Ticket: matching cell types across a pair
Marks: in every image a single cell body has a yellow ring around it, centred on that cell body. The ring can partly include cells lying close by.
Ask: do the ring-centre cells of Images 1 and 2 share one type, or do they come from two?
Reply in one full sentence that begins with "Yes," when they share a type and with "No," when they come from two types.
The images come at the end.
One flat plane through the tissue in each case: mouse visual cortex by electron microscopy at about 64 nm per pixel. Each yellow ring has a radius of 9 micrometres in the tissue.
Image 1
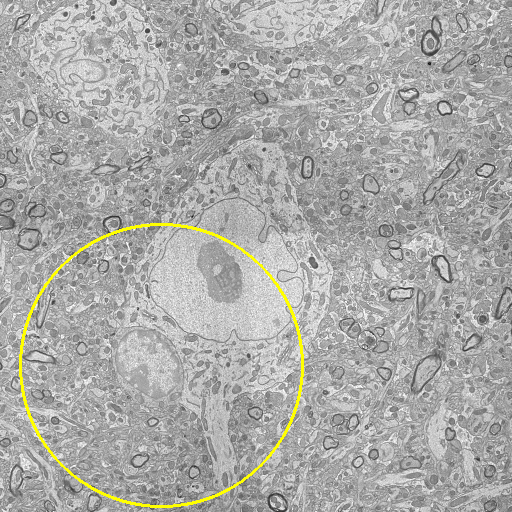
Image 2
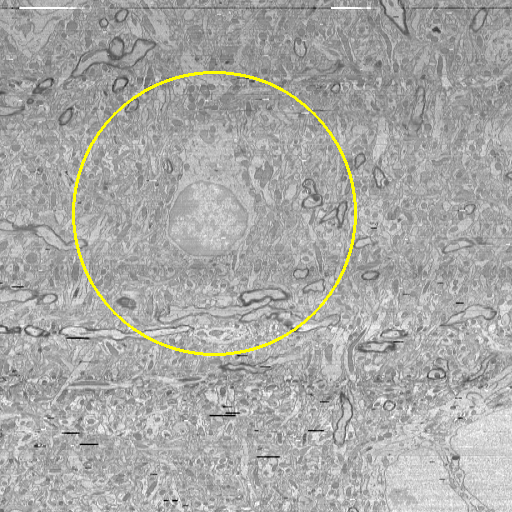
Yes, the cells in the centres of the rings in Image 1 and Image 2 share one type.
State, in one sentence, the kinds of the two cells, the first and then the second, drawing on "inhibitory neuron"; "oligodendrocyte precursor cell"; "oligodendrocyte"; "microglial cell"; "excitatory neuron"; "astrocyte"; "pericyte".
In each of the two pictures, the ringed cell is an oligodendrocyte.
